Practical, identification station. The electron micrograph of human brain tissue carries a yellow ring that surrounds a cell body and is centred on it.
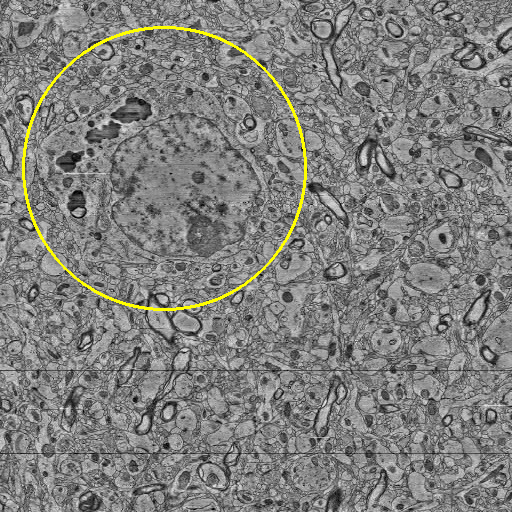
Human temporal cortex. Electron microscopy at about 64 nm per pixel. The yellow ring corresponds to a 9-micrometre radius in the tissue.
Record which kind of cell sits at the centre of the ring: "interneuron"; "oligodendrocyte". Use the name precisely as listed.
interneuron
